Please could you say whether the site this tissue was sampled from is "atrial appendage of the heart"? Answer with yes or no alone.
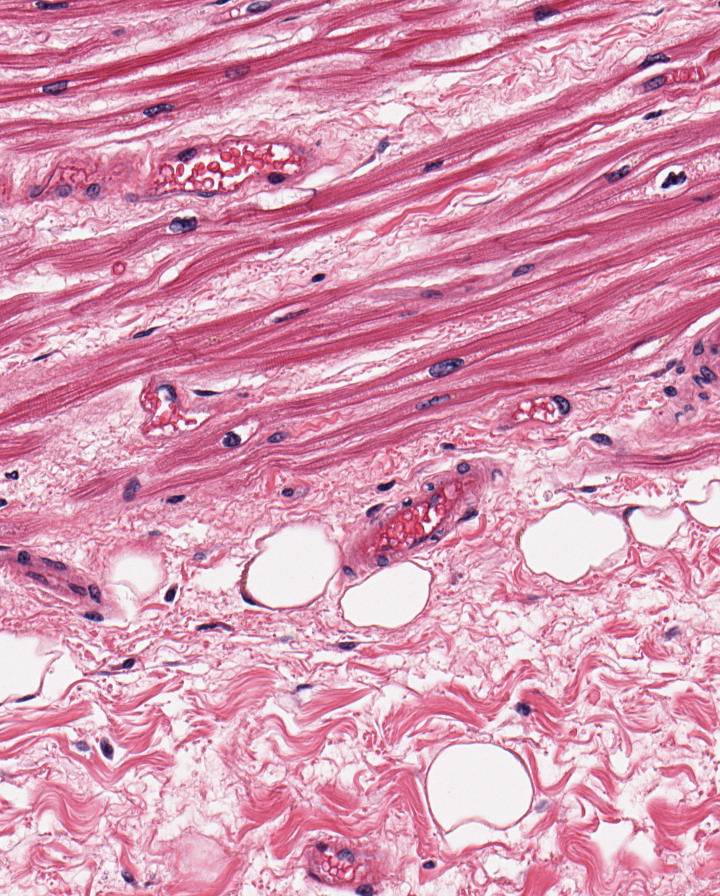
yes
